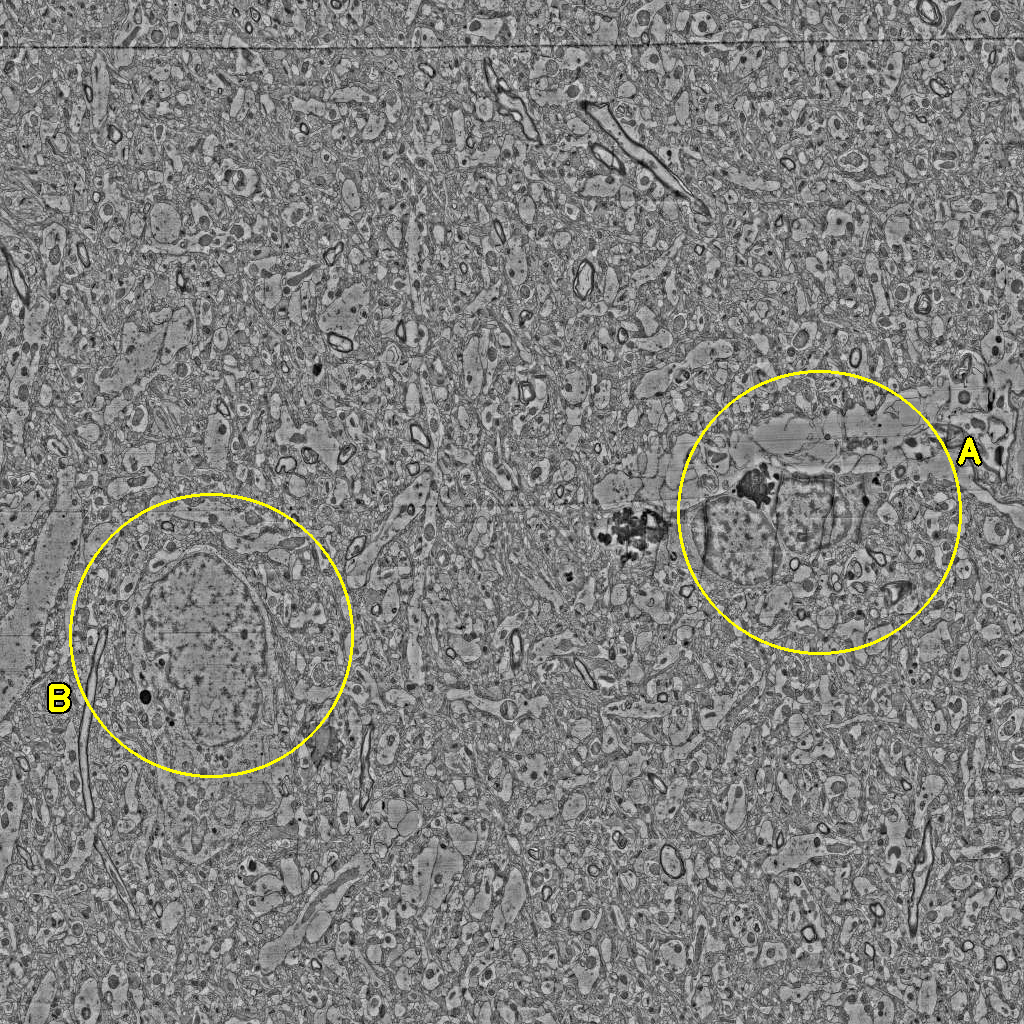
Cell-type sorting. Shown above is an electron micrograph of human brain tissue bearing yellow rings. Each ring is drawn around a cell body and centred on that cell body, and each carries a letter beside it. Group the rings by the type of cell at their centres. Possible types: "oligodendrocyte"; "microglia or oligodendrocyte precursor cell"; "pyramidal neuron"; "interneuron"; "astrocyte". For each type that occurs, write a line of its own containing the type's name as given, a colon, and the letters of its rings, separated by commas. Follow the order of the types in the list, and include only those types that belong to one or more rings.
oligodendrocyte: A
interneuron: B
